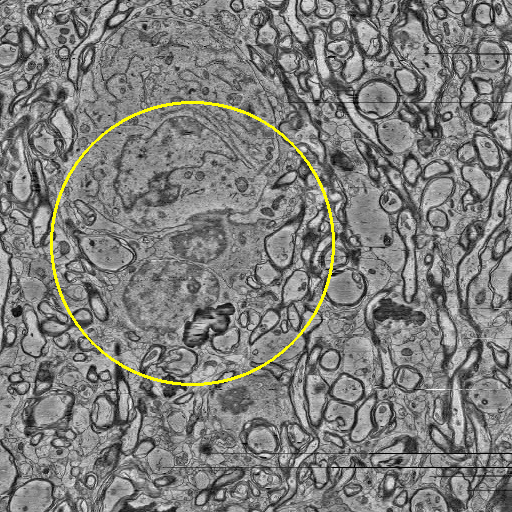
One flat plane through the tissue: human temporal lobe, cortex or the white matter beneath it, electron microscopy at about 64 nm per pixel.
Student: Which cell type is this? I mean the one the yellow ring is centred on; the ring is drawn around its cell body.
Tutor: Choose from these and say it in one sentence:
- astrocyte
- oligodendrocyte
The cell the ring is centred on is an oligodendrocyte.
